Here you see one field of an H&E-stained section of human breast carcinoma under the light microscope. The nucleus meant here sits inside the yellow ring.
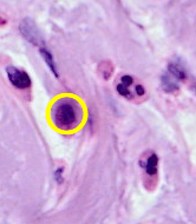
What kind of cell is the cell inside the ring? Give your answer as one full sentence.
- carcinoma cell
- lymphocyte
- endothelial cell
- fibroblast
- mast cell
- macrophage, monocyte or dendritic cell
With respect to cell type, the cell inside the ring is a mast cell.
